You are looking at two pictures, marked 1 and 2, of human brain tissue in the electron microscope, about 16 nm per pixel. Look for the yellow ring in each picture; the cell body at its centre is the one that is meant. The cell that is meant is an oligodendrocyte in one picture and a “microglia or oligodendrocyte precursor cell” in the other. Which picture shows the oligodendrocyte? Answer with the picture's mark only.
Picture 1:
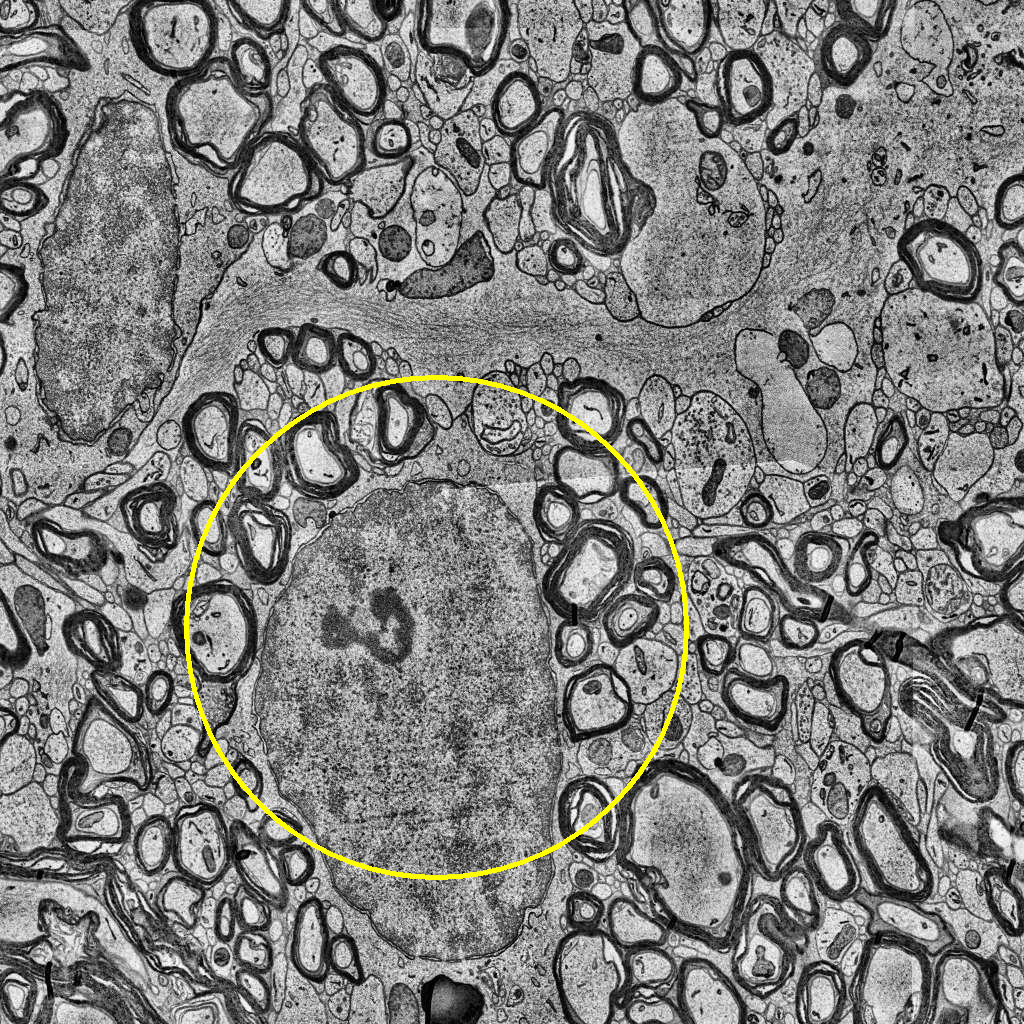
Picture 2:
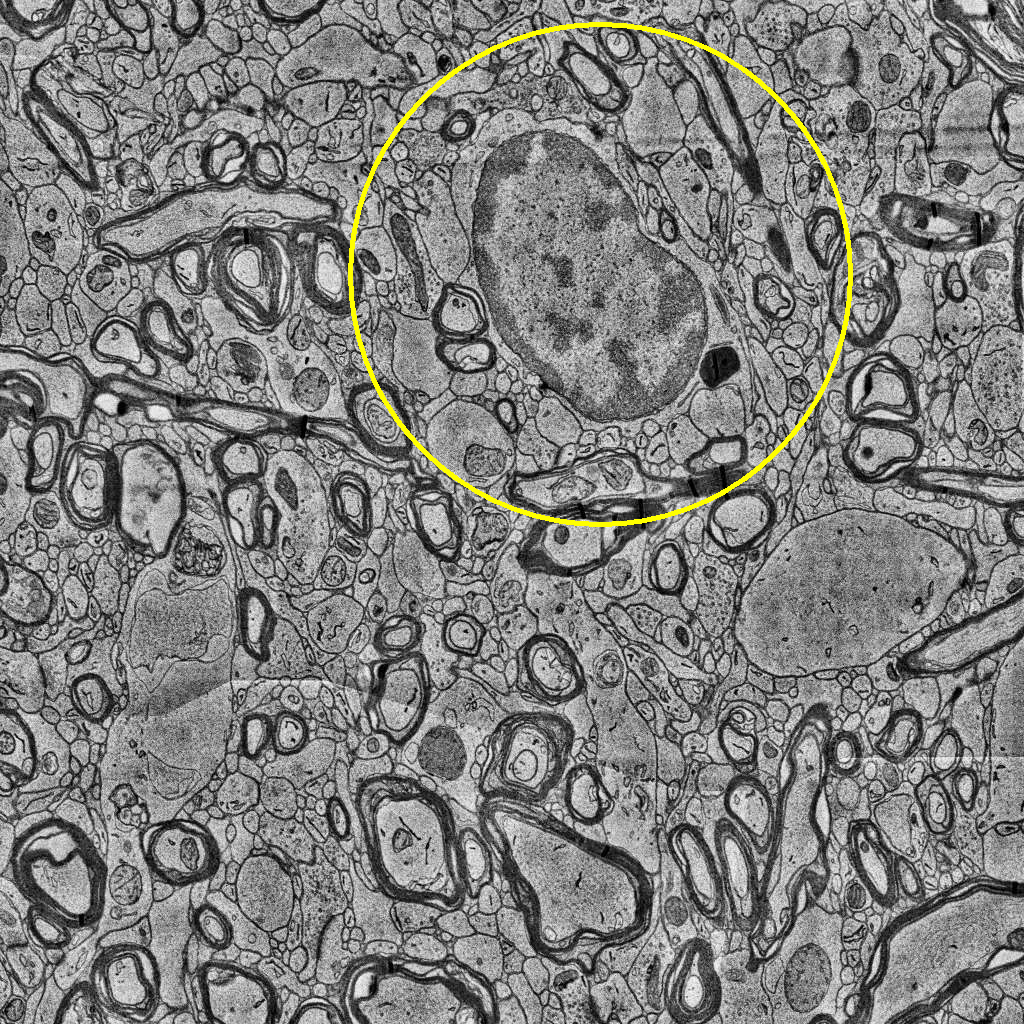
1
